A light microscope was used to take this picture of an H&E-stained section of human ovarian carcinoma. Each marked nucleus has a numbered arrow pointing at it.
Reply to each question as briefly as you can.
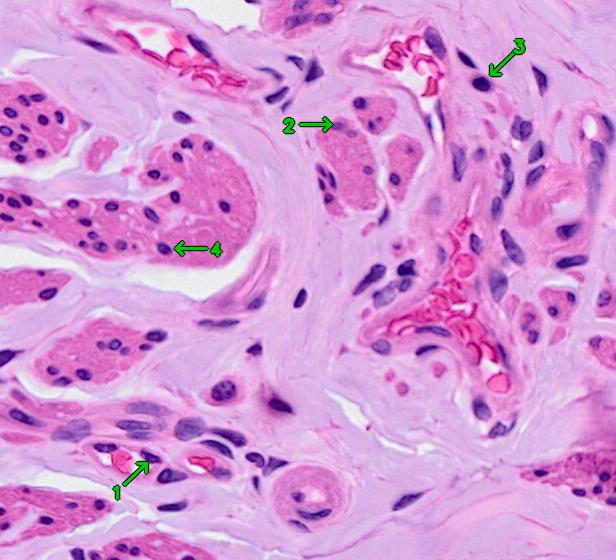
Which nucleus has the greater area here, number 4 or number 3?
3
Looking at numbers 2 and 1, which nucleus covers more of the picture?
1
